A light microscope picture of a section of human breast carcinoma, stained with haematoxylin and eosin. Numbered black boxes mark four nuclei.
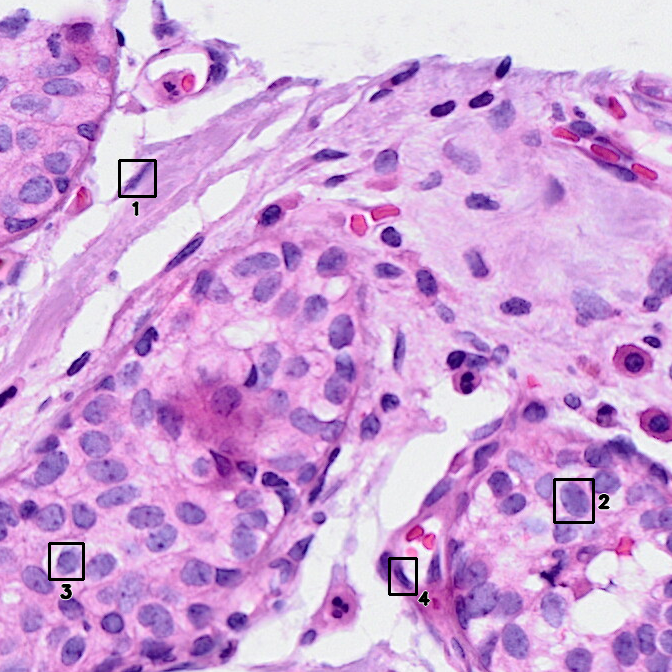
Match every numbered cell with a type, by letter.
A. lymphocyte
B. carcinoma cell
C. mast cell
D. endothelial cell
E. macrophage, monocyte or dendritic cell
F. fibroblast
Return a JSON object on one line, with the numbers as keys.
{"1": "F", "2": "B", "3": "B", "4": "D"}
